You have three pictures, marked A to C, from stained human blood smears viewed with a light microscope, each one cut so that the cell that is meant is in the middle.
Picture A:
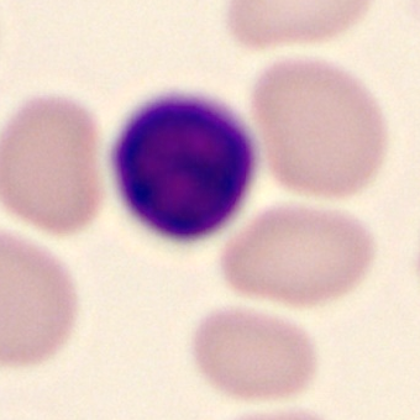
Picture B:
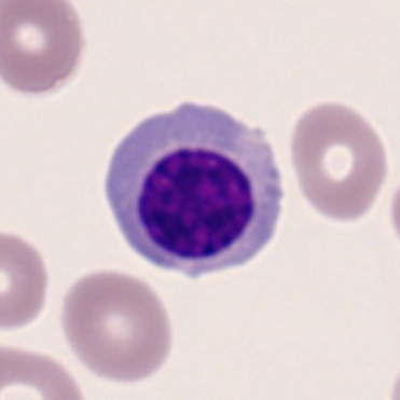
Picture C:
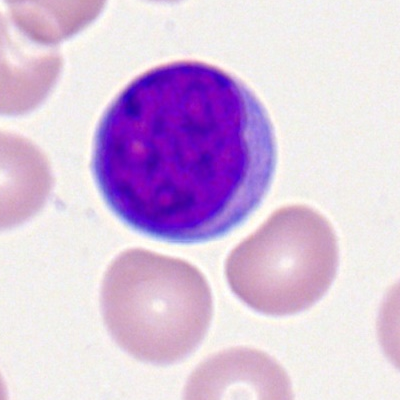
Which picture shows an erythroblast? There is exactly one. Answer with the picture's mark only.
B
